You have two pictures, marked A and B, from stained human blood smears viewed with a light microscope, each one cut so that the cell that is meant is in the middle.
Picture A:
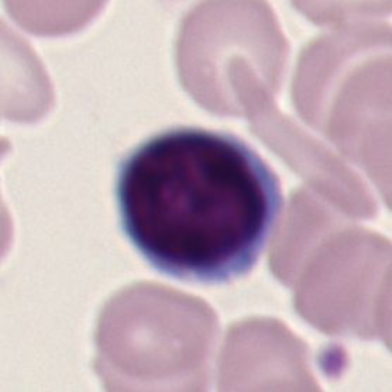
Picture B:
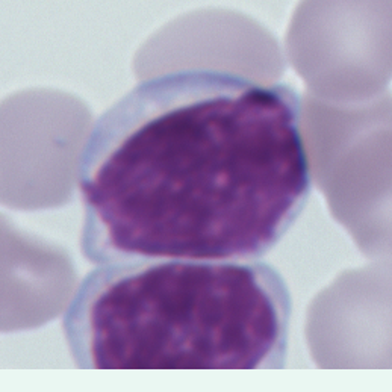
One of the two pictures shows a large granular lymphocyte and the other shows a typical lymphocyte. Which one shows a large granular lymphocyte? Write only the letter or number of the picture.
B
